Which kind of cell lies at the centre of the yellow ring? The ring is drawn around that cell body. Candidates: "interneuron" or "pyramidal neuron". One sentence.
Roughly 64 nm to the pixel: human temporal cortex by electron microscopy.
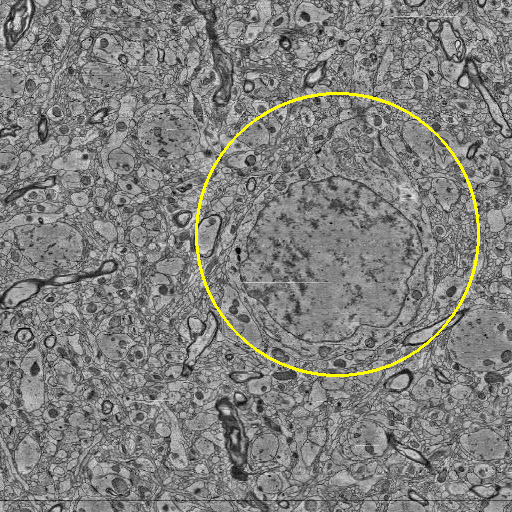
Lying at the centre of the ring is a pyramidal neuron.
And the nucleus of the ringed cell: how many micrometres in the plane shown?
The nucleus is approximately 11 micrometers across in this plane.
